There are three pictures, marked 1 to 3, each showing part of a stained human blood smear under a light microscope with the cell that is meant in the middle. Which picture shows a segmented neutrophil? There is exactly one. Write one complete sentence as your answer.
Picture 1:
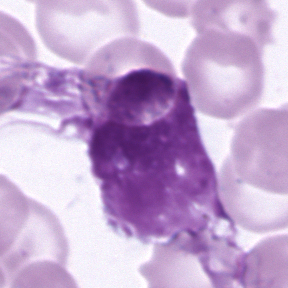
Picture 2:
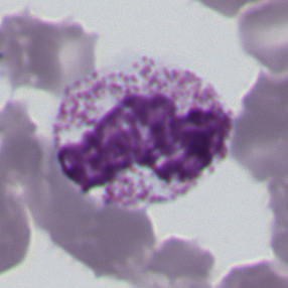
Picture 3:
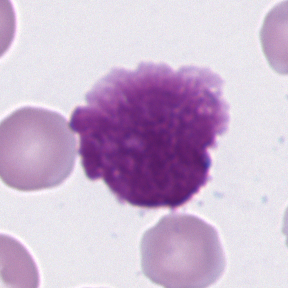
It is picture 2 that shows the segmented neutrophil.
